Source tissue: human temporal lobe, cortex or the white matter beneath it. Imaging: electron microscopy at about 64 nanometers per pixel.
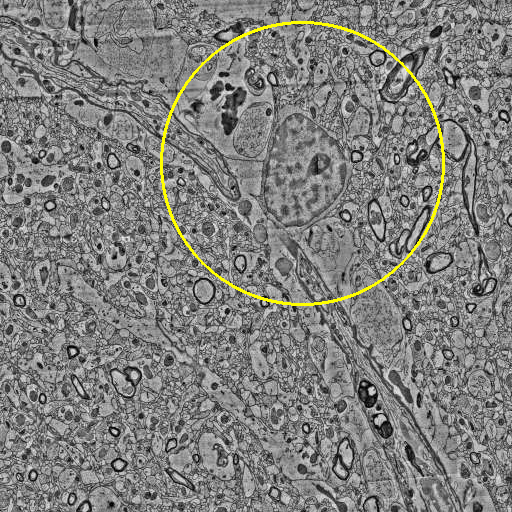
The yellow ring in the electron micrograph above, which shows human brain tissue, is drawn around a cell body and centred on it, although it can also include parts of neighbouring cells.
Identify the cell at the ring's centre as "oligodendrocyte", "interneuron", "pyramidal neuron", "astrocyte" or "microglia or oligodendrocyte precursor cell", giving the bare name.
oligodendrocyte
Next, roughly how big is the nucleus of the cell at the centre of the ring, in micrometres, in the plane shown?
In this plane, roughly 7 by 5 micrometres.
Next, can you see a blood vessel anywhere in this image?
Yes, the picture includes a blood vessel.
